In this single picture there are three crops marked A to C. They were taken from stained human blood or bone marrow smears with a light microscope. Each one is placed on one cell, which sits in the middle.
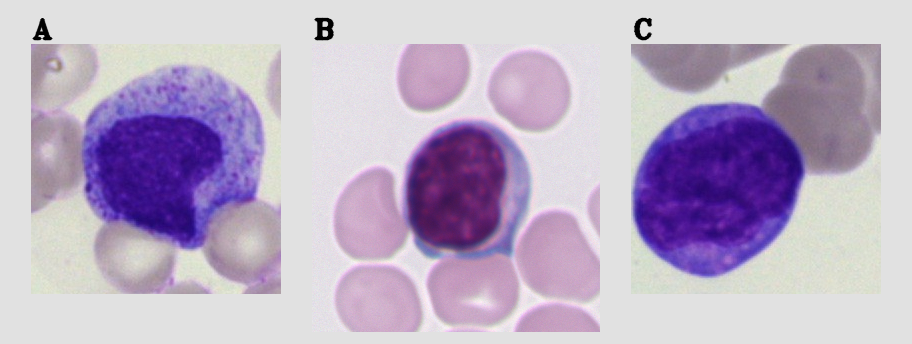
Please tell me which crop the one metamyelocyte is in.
A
